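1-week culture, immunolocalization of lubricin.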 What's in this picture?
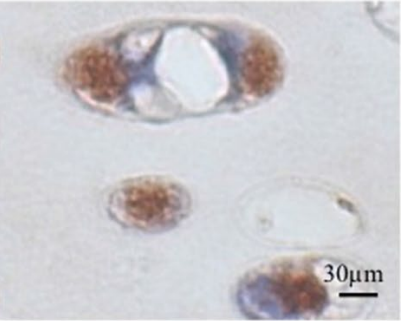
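Cartilage chondrocytes at high magnification lie in rounded lacunae set in a pale, even matrix. At the top, one lacuna holds two cells on either side of a clear central space; each has a blue nucleus and cytoplasm packed with granular brown staining. Below sits a small round cell, also filled with brown granules, beside a lacuna that looks empty. At the lower right another cell shows a blue nucleus with brown cytoplasm. The lacunae have thin, slightly refractile rims. These appear to be chondrocytes of the upper cartilage zones, staining strongly within their cytoplasm.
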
